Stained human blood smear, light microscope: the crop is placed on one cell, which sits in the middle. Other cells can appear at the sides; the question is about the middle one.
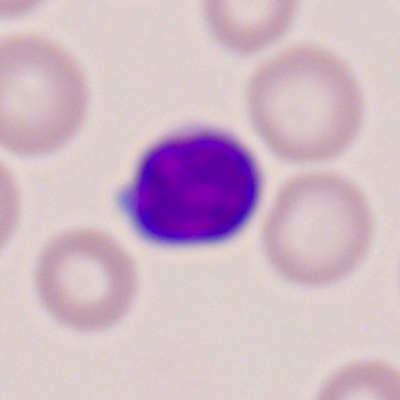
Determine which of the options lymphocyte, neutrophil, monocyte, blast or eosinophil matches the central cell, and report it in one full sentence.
The middle of this crop holds a lymphocyte.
